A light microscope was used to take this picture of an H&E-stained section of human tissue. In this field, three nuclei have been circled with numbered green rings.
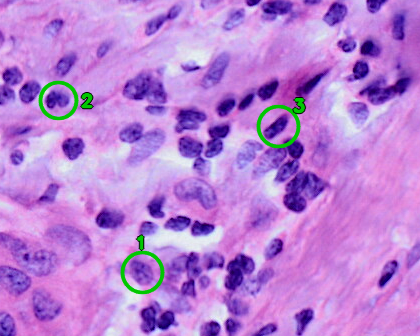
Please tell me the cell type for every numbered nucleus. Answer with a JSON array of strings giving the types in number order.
["macrophage or monocyte", "lymphocyte", "lymphocyte"]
